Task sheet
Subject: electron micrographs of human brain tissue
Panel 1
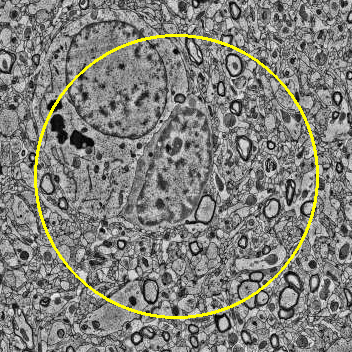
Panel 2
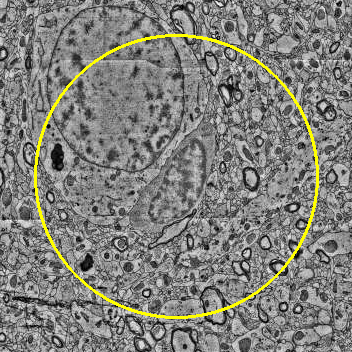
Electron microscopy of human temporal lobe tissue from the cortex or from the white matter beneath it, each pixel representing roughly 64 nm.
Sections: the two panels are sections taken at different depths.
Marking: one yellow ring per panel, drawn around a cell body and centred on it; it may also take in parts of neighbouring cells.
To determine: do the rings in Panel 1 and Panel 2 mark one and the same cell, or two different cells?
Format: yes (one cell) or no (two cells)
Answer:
yes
